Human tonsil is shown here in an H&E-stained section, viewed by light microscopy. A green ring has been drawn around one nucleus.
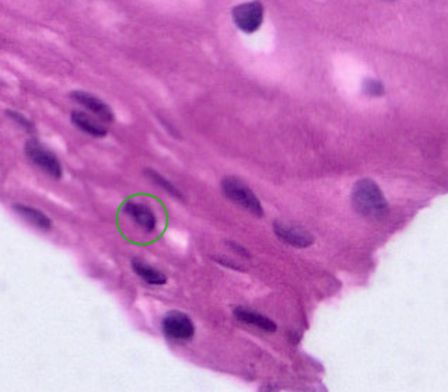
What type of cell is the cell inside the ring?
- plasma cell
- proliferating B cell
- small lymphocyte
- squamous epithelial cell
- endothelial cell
squamous epithelial cell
